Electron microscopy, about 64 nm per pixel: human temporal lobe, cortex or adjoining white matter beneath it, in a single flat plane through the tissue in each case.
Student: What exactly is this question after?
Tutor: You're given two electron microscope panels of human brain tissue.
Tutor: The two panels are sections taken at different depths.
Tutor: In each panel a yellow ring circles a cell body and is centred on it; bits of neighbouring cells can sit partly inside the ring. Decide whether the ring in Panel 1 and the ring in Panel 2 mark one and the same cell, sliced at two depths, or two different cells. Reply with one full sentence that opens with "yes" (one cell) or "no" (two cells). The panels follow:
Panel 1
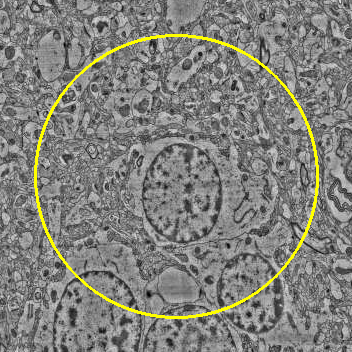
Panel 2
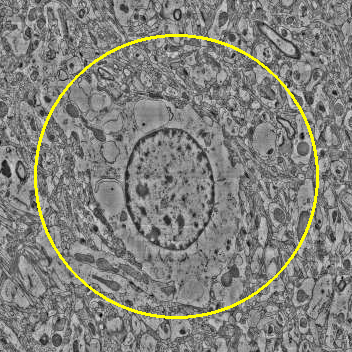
No, the pair of yellow rings marks two distinct cells.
